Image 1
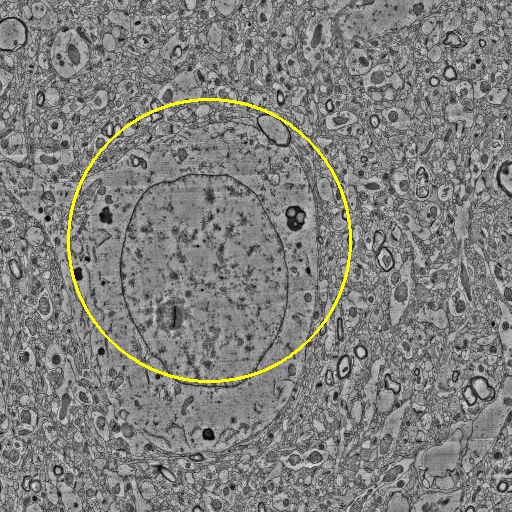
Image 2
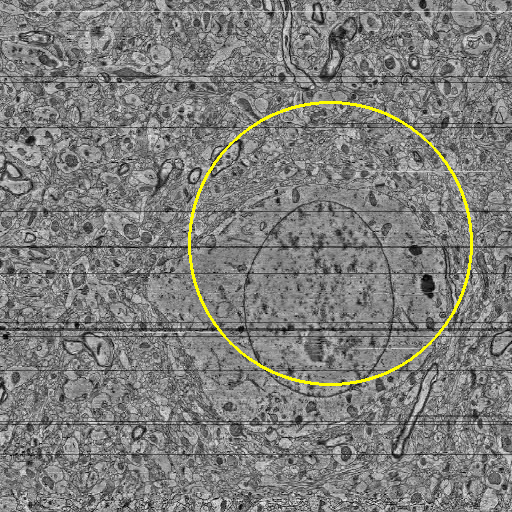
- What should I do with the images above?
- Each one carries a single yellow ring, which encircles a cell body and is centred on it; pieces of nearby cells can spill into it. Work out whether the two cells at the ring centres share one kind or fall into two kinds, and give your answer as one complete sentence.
The ring-centre cells of Image 1 and Image 2 share one kind.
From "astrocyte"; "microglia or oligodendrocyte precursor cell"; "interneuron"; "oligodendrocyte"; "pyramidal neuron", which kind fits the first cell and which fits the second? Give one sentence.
Each cell at the centre of a ring is a pyramidal neuron.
